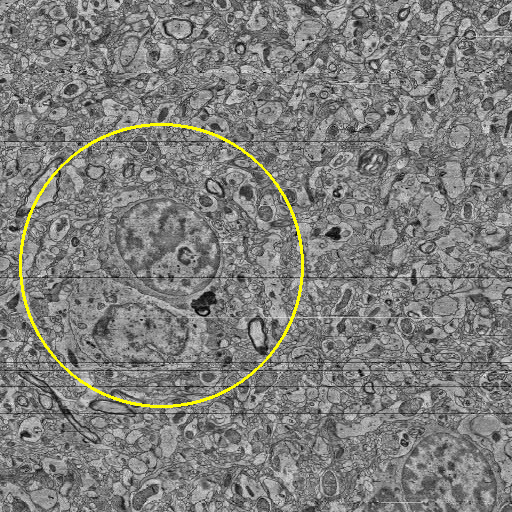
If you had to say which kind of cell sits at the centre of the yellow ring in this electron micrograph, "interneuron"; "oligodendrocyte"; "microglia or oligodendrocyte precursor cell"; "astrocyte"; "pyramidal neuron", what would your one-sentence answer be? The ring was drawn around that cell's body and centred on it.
The cell sitting at the centre of the ring is an oligodendrocyte.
